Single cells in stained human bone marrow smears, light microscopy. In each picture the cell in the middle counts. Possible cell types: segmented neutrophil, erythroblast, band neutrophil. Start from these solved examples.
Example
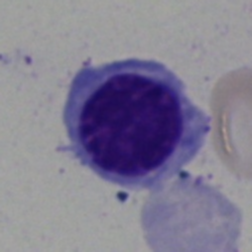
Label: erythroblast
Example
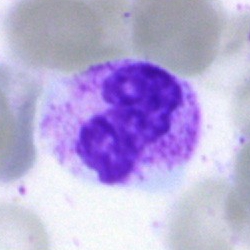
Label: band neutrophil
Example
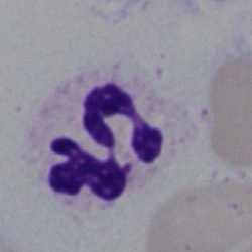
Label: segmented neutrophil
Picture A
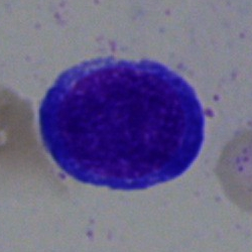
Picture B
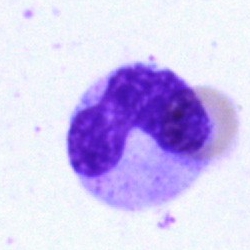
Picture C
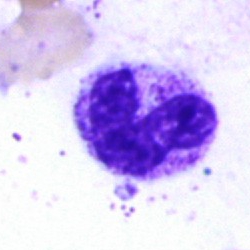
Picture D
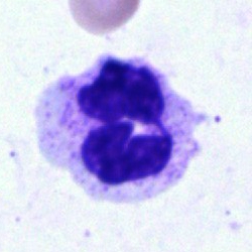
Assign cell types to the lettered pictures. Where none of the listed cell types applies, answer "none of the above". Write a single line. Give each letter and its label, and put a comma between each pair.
A erythroblast, B band neutrophil, C band neutrophil, D segmented neutrophil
